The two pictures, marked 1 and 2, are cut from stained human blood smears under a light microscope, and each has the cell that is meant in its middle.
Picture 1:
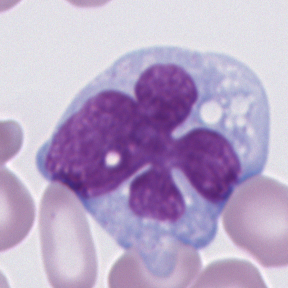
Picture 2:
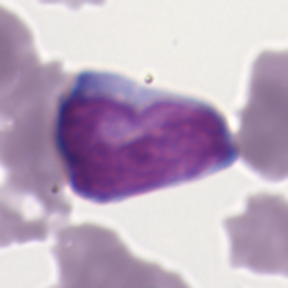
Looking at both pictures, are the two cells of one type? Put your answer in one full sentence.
No, the types are not the same, since picture 1 shows a monocyte and picture 2 a myeloblast.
